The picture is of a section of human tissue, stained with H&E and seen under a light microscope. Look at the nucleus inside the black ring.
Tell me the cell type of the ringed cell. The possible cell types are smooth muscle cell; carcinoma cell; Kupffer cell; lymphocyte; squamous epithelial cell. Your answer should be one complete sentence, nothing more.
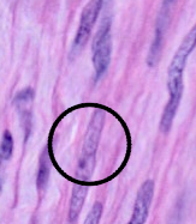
The identity of the ringed cell is that of a smooth muscle cell.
